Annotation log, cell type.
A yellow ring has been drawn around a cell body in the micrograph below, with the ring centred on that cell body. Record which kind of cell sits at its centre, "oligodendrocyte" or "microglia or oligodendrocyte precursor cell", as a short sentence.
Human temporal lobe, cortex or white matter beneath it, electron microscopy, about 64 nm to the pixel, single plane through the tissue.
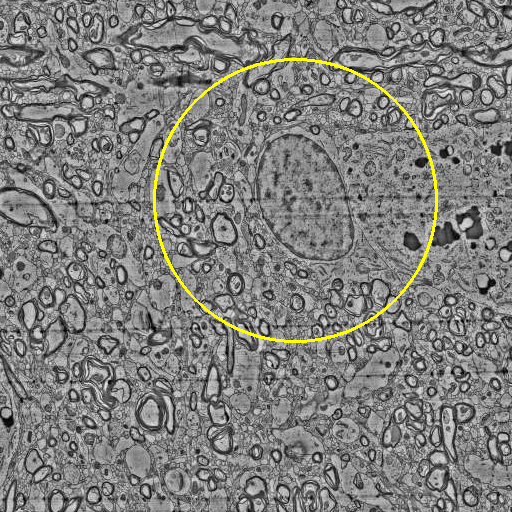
The cell at the centre of this ring is a microglial cell or oligodendrocyte precursor cell.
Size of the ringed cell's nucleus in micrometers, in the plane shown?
At approximately 9 by 6 micrometres, the nucleus is clearly longer than it is wide in this plane.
